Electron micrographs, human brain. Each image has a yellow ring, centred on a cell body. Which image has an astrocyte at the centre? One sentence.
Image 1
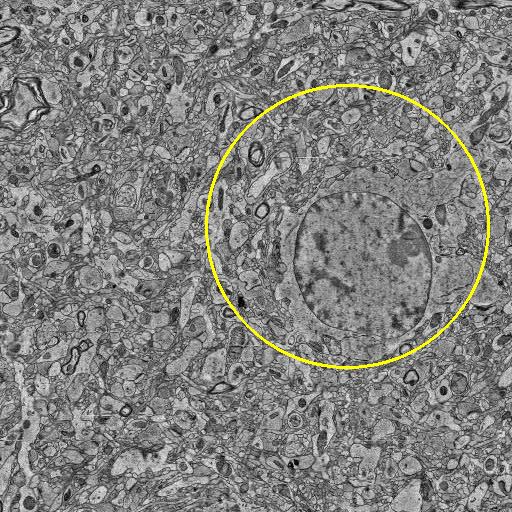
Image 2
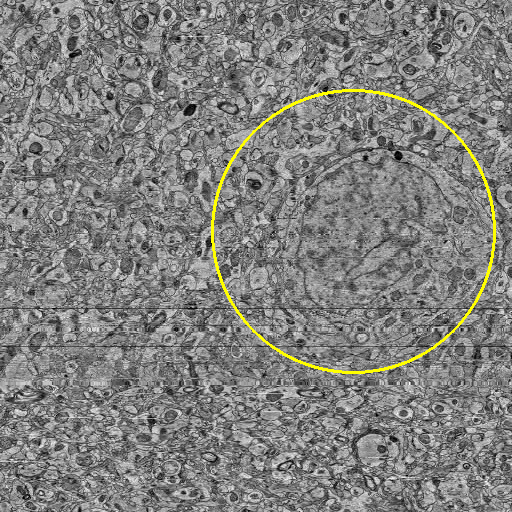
The ring in Image 1 is centred on it.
